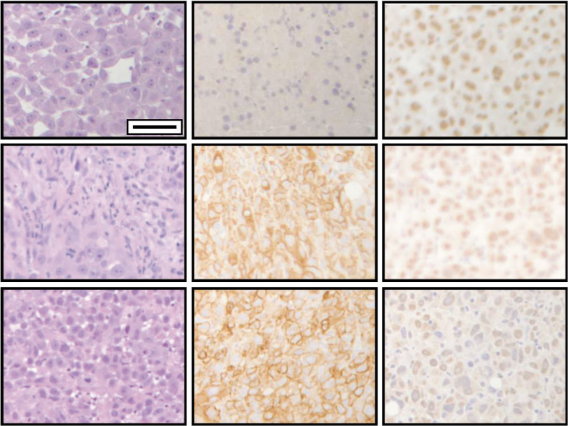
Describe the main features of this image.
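In the pink and purple fields the tumor cells have round to oval nuclei and a moderate rim of cytoplasm, and they lie in solid sheets without clear glandular arrangement. In the middle column the top field shows only blue nuclei with no brown, whereas the two lower fields show brown staining that outlines the cell borders in a honeycomb-like pattern. In the right column the top field has many nuclei stained brown, while the nuclei in the two lower fields are stained much more faintly.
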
